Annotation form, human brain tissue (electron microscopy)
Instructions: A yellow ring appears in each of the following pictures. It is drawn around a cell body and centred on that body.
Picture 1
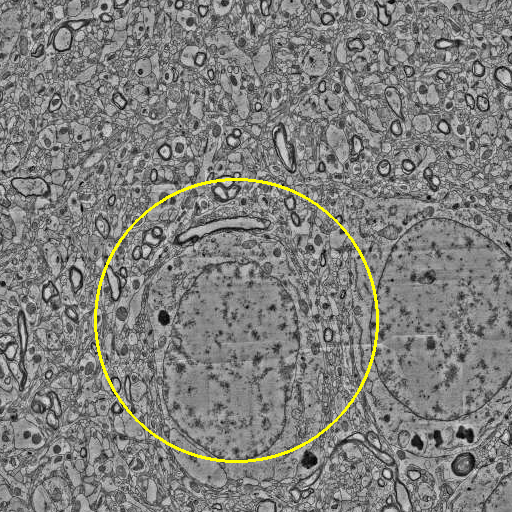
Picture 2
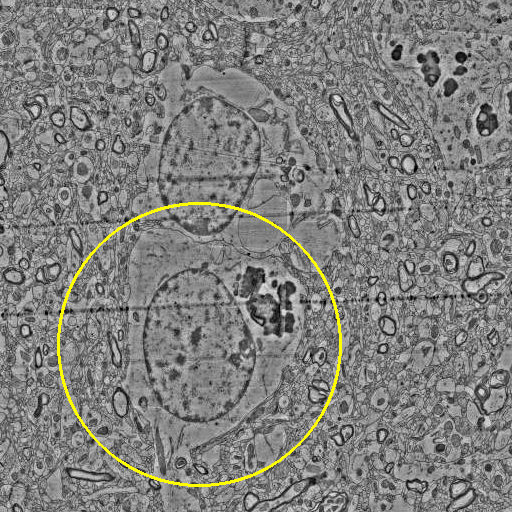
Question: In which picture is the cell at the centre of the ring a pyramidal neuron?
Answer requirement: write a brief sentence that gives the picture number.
The cell at the centre of the ring in Picture 1 is the one asked for.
